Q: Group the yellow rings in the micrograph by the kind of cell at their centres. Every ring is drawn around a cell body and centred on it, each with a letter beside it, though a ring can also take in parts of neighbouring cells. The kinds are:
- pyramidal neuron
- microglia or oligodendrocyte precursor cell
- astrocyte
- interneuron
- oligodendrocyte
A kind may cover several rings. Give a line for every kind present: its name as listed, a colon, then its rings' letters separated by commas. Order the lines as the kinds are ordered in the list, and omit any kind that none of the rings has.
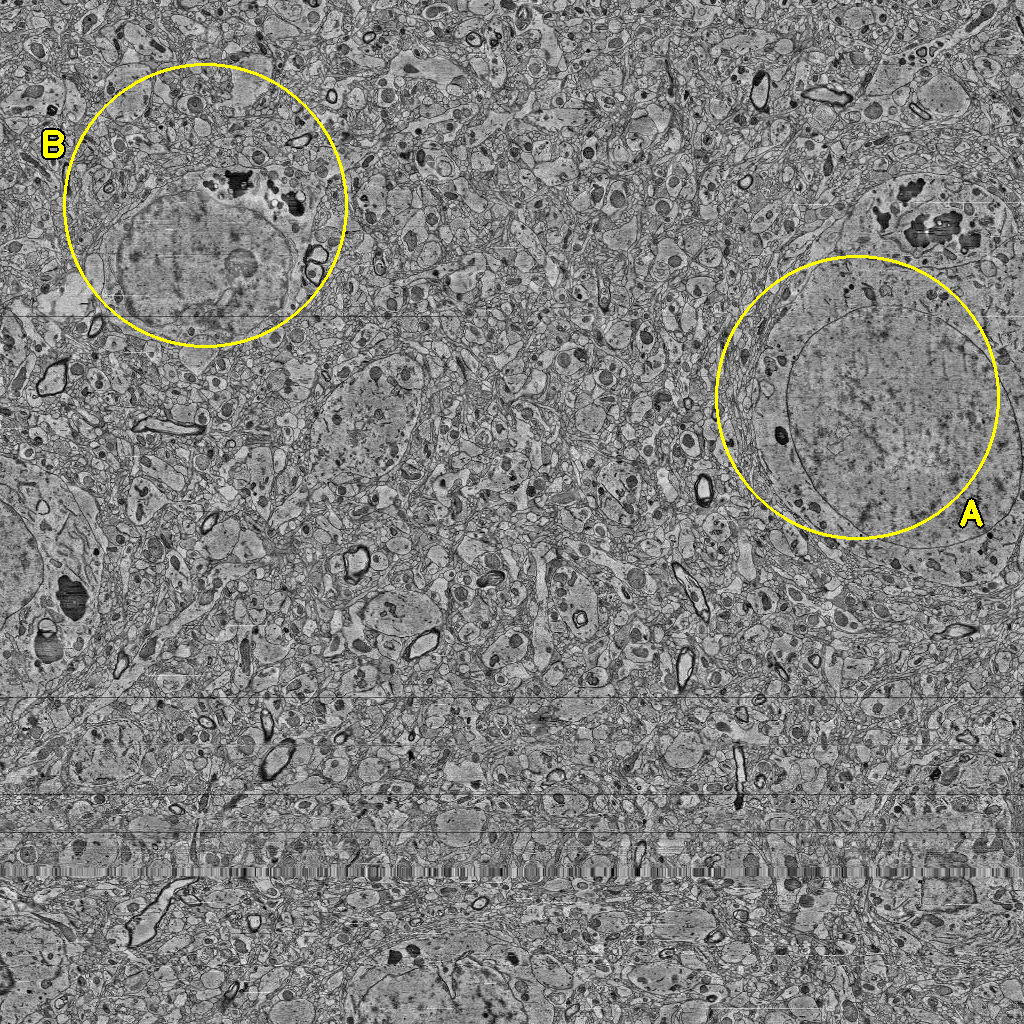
pyramidal neuron: A
interneuron: B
